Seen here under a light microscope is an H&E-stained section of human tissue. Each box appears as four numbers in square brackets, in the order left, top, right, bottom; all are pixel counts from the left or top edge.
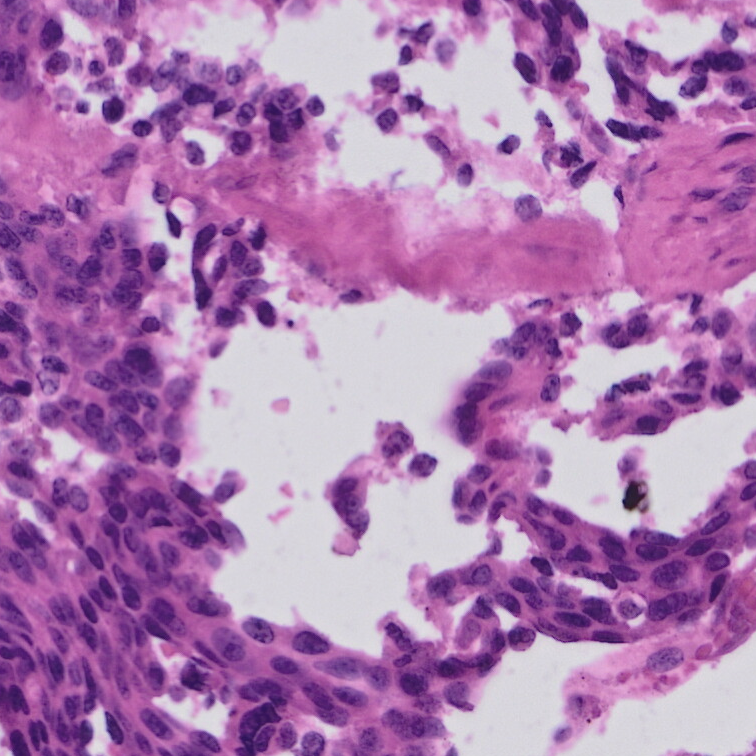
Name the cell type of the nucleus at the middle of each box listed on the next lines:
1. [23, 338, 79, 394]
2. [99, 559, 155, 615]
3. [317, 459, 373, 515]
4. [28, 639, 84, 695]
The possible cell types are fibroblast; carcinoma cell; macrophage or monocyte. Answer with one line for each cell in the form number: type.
1: macrophage or monocyte
2: carcinoma cell
3: carcinoma cell
4: carcinoma cell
